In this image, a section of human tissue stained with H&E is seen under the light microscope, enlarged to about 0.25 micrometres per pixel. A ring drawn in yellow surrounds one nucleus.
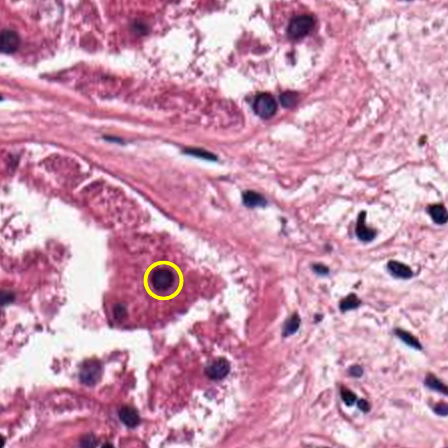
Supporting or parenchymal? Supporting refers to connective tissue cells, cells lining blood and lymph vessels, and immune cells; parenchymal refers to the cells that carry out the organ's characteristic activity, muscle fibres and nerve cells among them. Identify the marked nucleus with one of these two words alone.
parenchymal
